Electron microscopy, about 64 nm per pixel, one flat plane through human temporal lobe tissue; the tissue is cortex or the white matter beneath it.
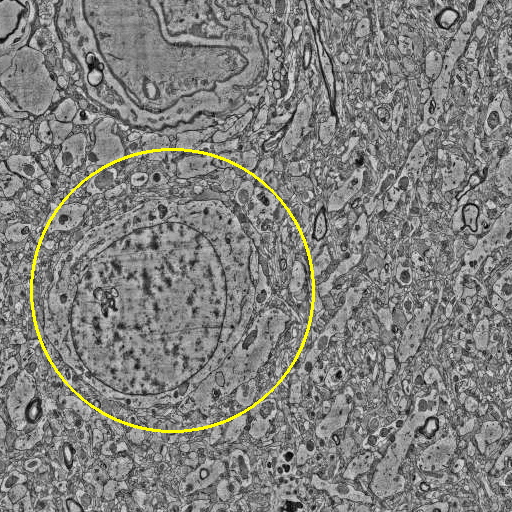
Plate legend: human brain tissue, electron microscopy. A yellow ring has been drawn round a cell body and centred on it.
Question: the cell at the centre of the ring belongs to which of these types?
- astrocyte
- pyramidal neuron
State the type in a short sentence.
The cell in the middle of the ring is a pyramidal neuron.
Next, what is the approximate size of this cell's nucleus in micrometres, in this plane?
Roughly 11 micrometers across in this plane.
